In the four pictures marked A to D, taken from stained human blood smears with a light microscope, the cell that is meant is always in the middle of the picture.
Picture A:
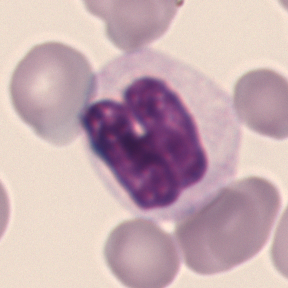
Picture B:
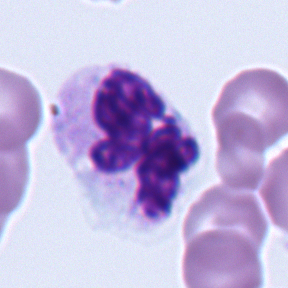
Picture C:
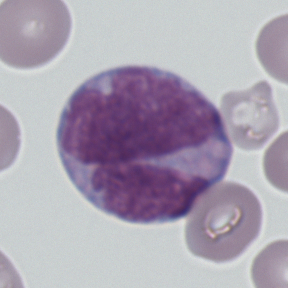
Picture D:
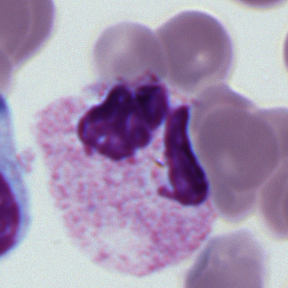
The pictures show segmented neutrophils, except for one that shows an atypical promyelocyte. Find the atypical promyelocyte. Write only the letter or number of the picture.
C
